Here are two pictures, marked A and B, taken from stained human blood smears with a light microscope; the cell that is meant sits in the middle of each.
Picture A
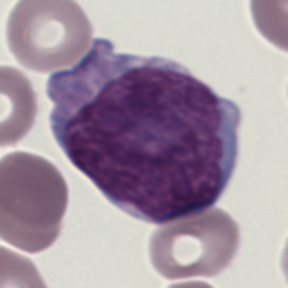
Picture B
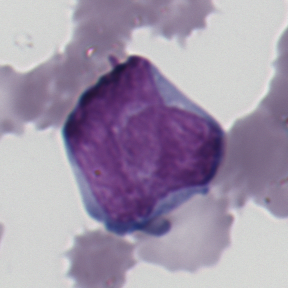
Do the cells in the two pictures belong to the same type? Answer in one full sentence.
No; the cell in picture A is a promyelocyte, while the one in picture B is a myeloblast.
